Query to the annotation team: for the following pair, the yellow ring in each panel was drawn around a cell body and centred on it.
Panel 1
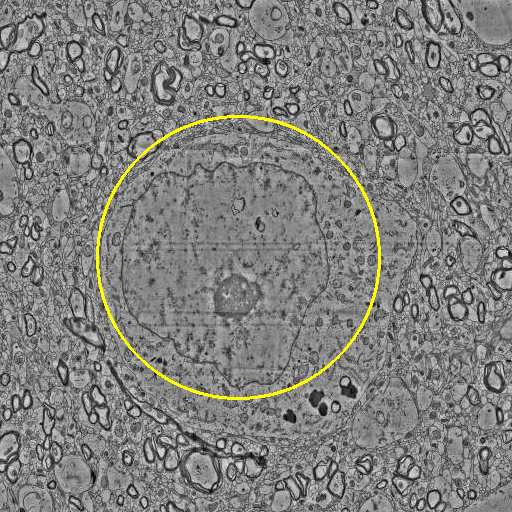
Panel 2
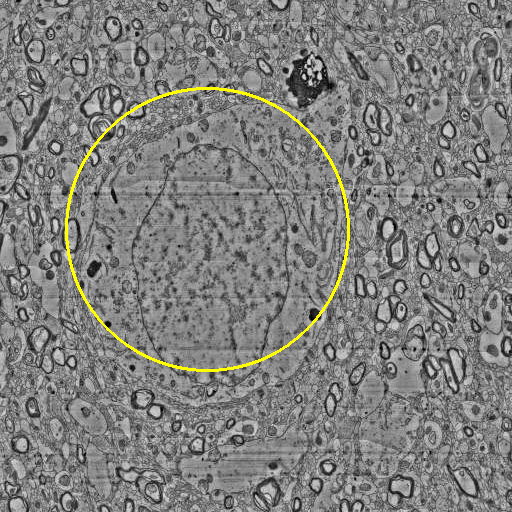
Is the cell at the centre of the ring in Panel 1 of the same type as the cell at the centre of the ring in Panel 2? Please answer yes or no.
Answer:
yes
